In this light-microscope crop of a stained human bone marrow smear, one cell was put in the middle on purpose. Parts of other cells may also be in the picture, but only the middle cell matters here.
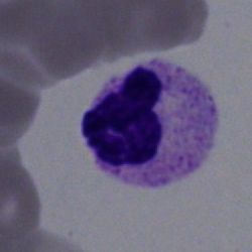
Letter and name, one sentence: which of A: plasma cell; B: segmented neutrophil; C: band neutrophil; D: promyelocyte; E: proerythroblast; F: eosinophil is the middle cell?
It is a segmented neutrophil that occupies the centre of the crop, so option B is correct.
